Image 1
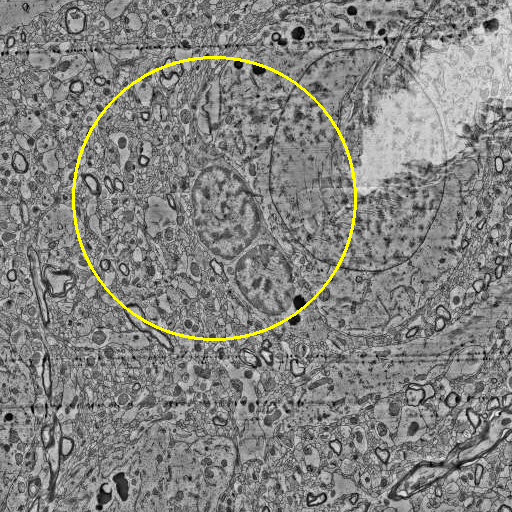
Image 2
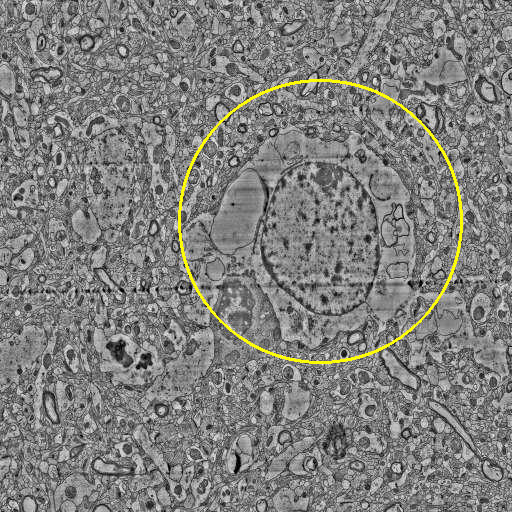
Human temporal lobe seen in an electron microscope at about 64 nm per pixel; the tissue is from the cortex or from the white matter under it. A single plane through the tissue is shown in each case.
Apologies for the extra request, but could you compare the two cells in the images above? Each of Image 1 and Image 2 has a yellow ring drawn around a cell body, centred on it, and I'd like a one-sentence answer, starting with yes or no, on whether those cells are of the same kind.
No, the two cells are of two kinds.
